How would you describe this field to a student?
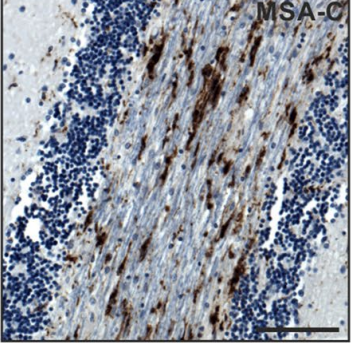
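This section shows a band of cerebellar white matter running diagonally between two granular layers. The granular layers on either side consist of densely packed small round blue nuclei. Within the white matter the fibres run in parallel, and many brown-stained cells lie among them. These brown cells are mostly elongated and aligned with the fibres, some forming dense dark clusters. Brown-stained cells are few in the granular layers compared with the white matter.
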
